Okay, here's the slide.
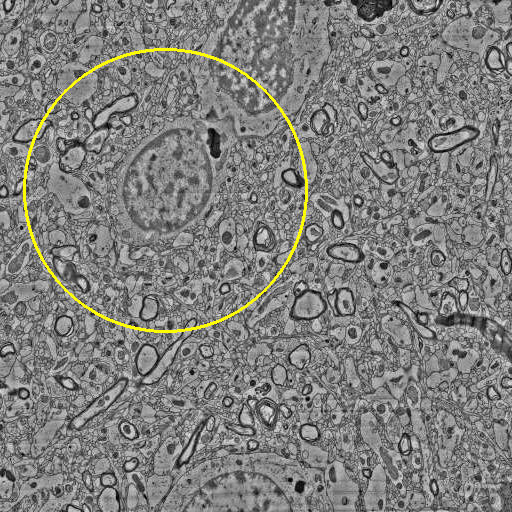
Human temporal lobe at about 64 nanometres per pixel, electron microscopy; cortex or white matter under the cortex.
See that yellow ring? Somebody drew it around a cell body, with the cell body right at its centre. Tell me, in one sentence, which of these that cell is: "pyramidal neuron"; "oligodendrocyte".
The cell in the middle of the ring is an oligodendrocyte.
